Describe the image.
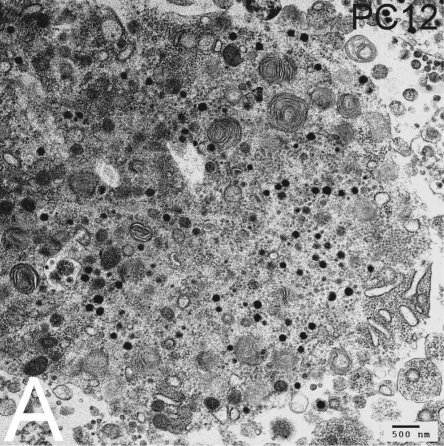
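Cytoplasm of a cultured cell packed with many small, round, very electron-dense dense core granules scattered among compact mitochondria. Some membrane-bound bodies contain concentric whorled membranes, and the cell edge at the right shows small vesicular profiles.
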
